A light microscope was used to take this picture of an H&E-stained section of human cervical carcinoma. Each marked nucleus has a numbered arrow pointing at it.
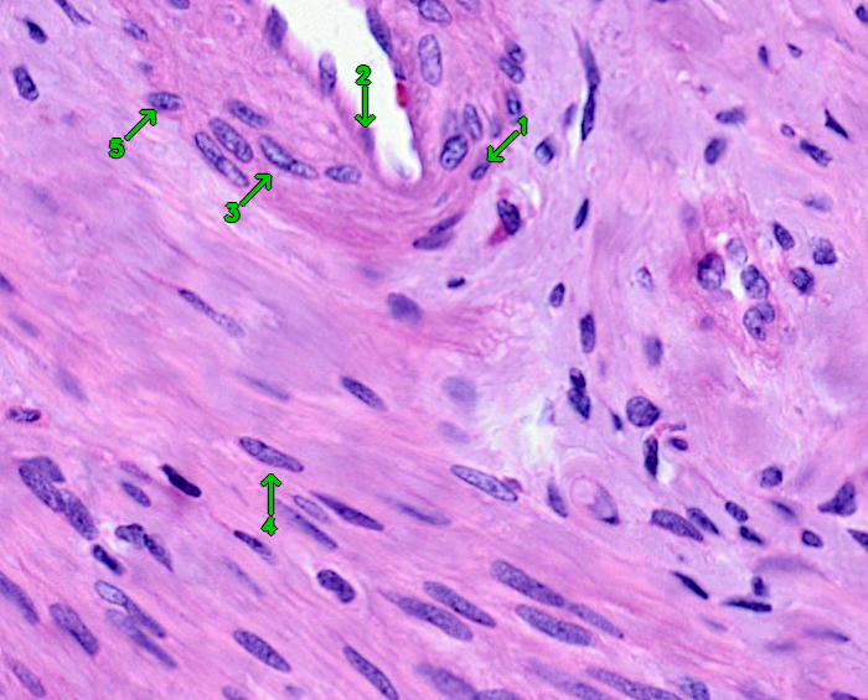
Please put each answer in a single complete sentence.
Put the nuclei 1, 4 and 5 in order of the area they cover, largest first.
From largest to smallest, the order is 4, 5, 1.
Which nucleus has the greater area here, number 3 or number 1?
The larger nucleus is 3, at roughly 4 times the area of 1.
